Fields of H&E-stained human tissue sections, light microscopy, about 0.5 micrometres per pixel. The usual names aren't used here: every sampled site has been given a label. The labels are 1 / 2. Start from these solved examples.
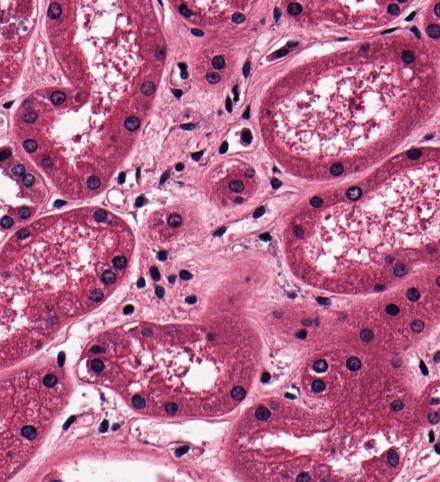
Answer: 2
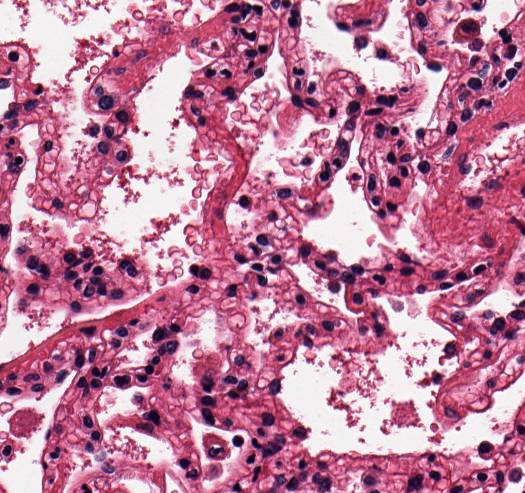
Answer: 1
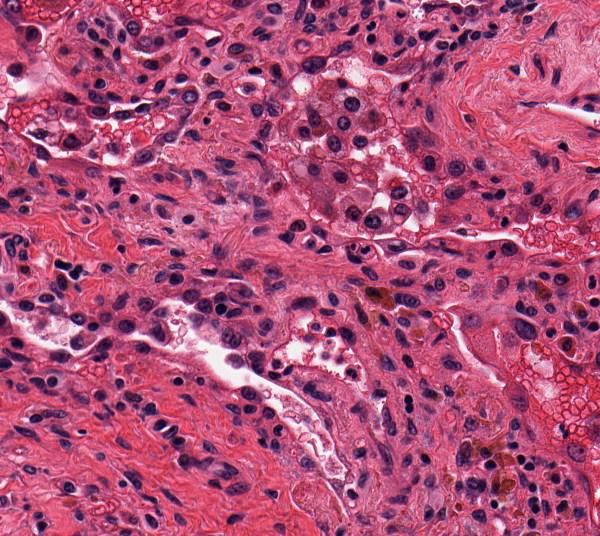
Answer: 1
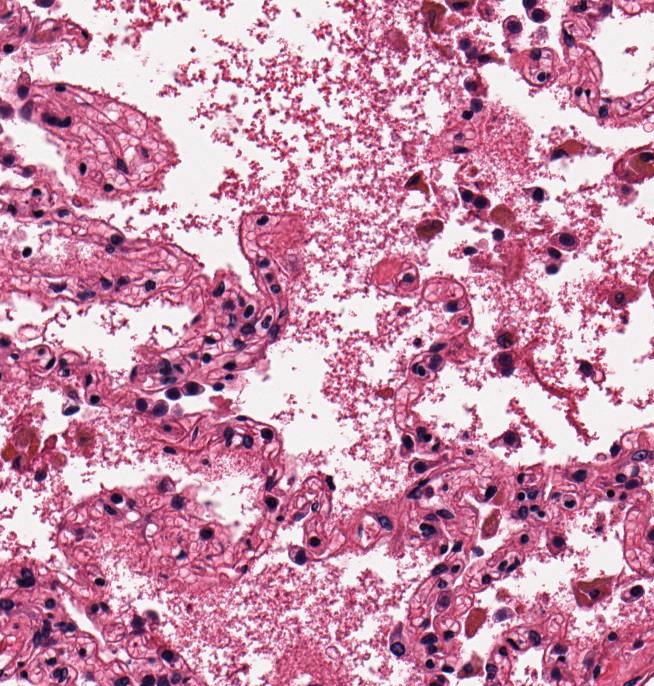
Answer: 1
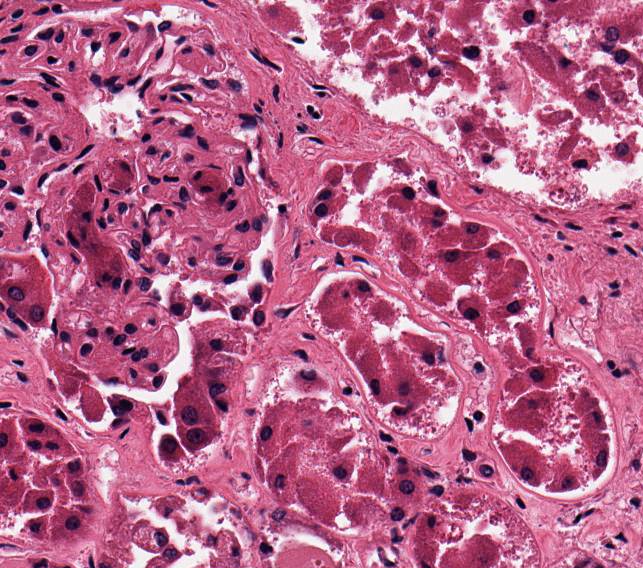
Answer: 2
